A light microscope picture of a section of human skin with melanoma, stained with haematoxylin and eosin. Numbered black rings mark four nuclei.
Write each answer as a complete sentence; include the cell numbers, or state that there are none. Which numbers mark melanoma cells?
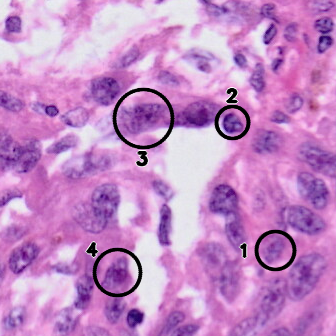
The cells to which the numbers 1, 3 and 4 refer are melanoma cells.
